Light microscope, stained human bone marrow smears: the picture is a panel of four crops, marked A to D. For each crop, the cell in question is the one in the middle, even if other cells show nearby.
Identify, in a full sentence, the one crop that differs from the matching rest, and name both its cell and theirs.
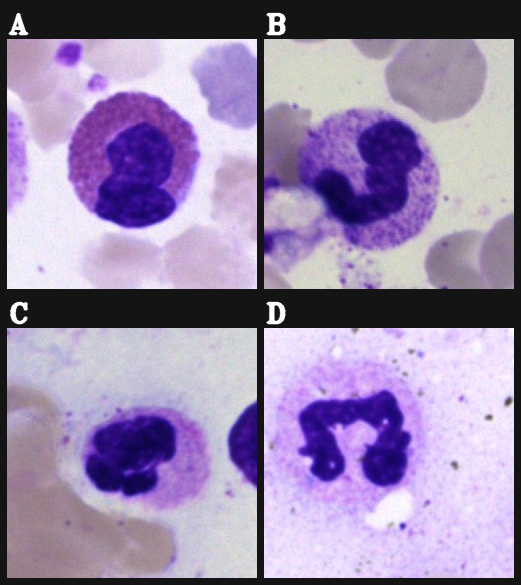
In this set the other crops all show segmented neutrophils, and crop A shows an eosinophil.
